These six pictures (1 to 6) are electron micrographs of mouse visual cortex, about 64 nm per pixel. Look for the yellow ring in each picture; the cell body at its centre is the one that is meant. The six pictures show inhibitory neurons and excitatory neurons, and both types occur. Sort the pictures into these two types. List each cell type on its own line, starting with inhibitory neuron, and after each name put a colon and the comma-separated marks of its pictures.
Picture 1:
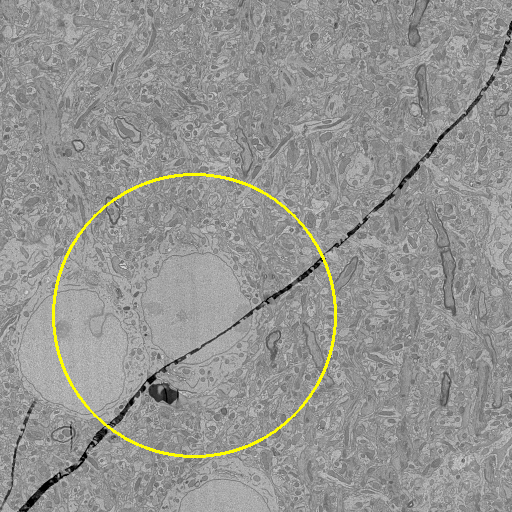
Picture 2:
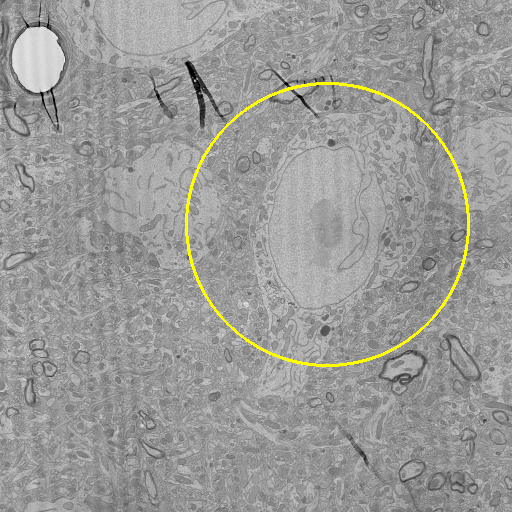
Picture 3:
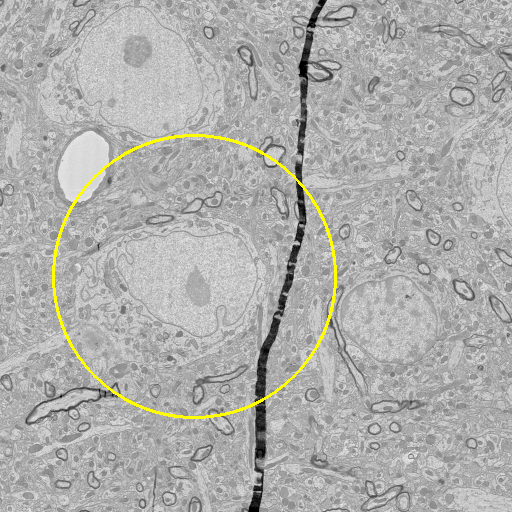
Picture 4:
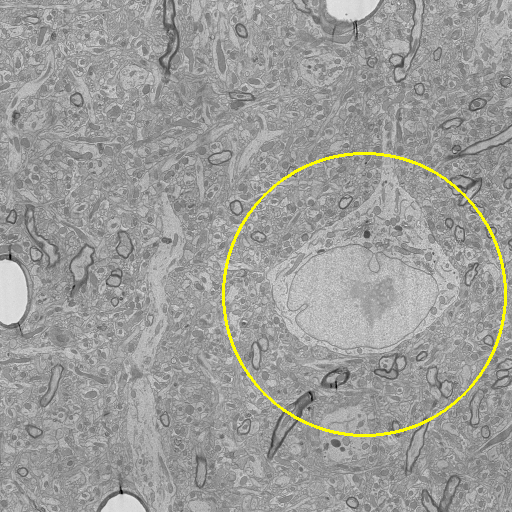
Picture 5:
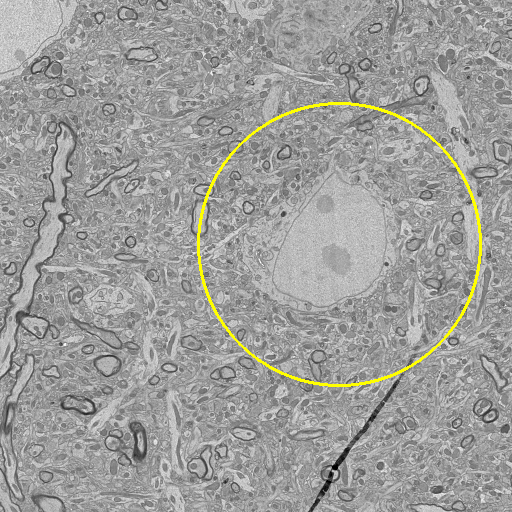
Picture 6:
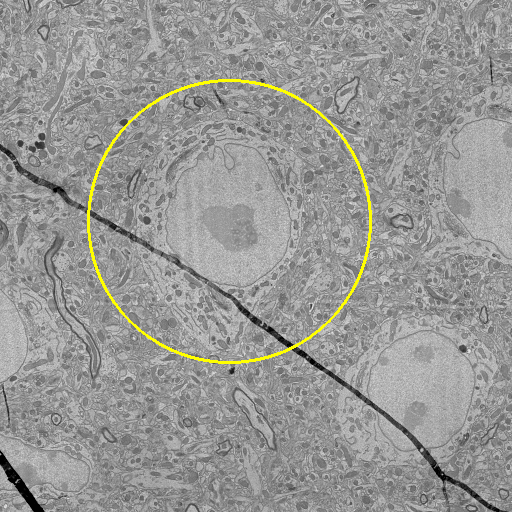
inhibitory neuron: 2, 3, 4, 6
excitatory neuron: 1, 5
